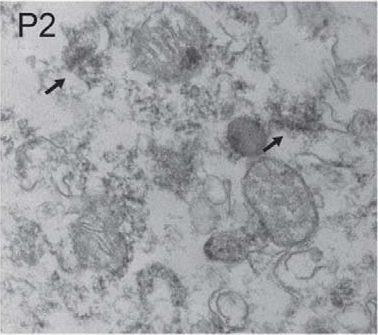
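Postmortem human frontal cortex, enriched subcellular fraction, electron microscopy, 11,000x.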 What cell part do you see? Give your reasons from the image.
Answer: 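Mitochondria. Several oval organelles bounded by a membrane. Inner folds (cristae) run across some of the organelles.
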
